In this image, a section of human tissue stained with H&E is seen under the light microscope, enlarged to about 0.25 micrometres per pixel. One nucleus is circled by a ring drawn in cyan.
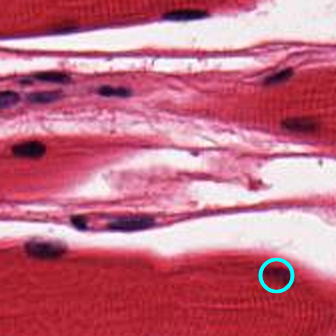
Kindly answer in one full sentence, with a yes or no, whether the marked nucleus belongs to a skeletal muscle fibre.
Yes, the cell containing the marked nucleus is a skeletal muscle fibre.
